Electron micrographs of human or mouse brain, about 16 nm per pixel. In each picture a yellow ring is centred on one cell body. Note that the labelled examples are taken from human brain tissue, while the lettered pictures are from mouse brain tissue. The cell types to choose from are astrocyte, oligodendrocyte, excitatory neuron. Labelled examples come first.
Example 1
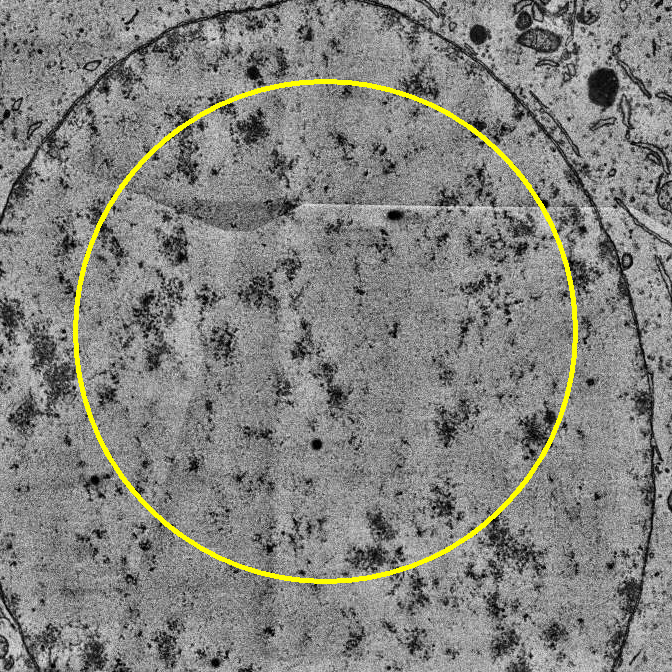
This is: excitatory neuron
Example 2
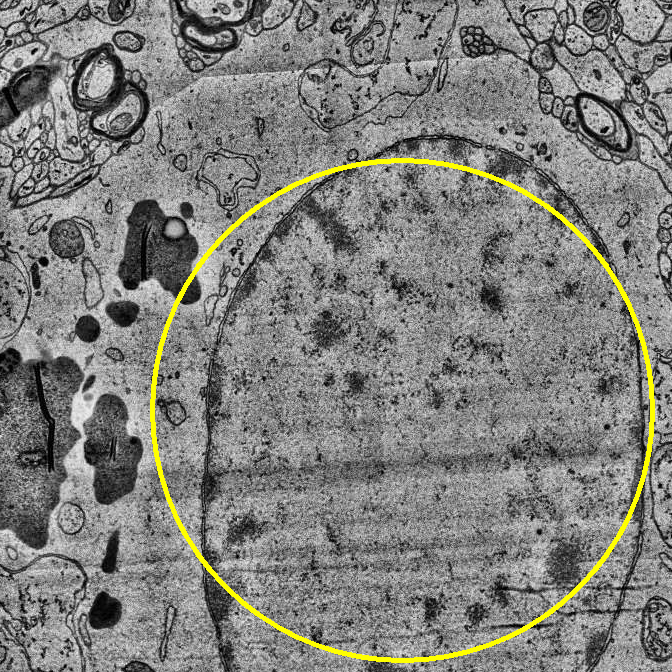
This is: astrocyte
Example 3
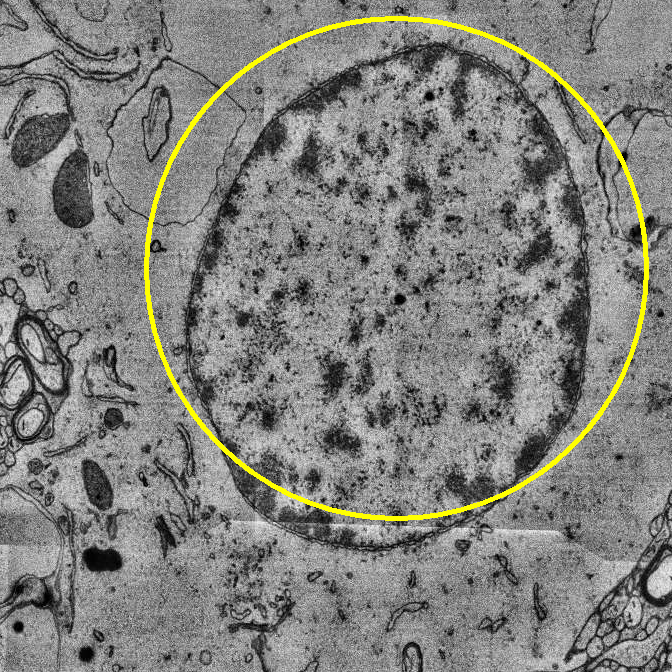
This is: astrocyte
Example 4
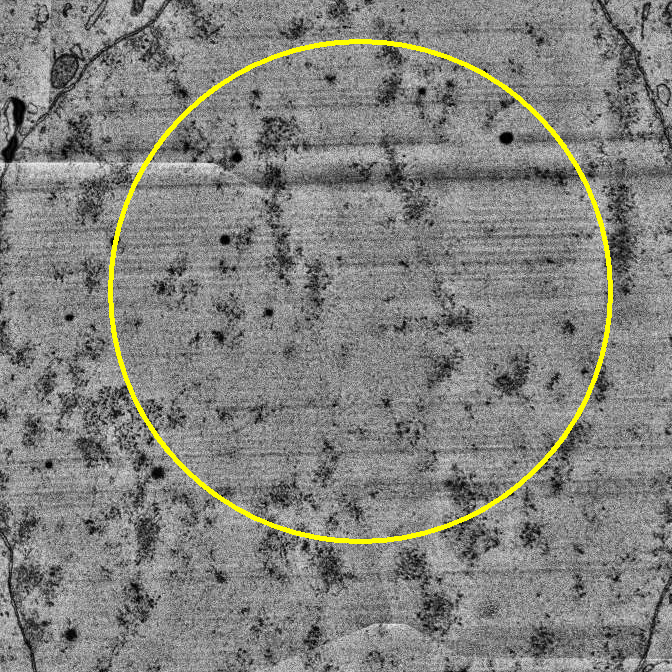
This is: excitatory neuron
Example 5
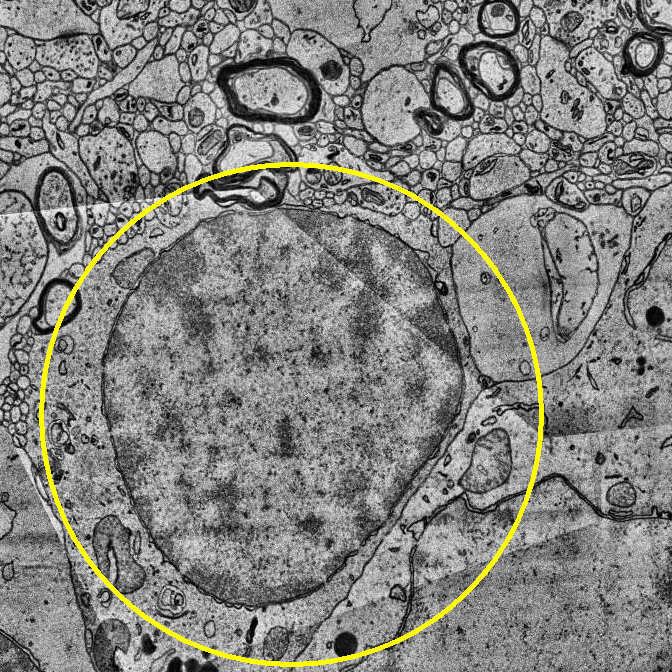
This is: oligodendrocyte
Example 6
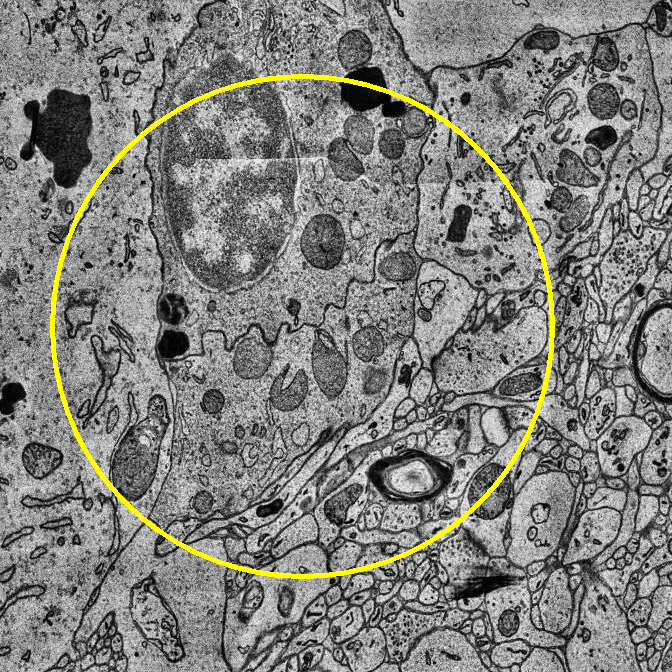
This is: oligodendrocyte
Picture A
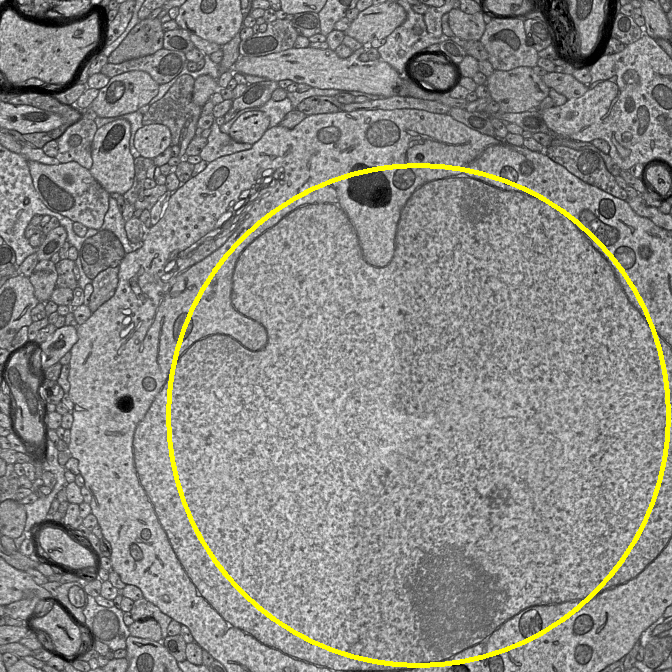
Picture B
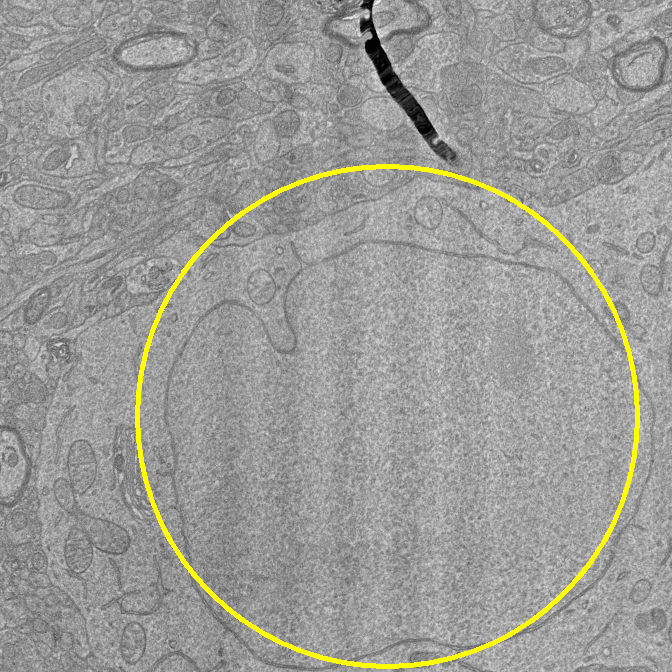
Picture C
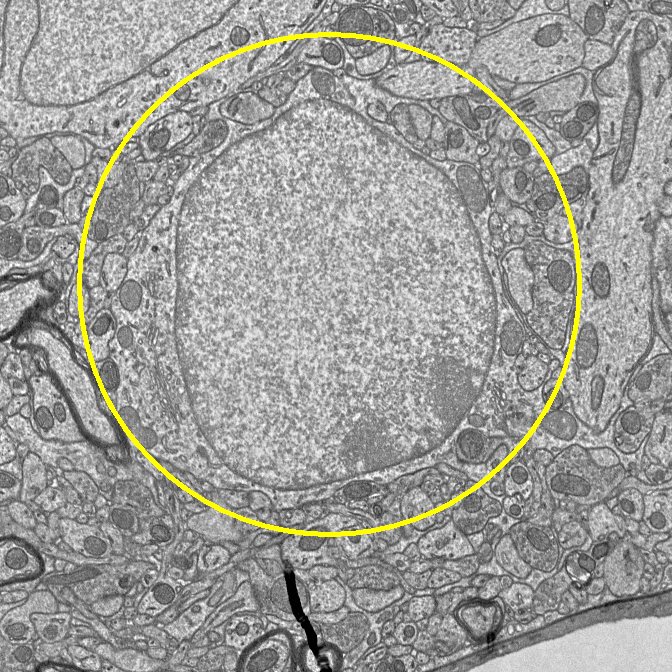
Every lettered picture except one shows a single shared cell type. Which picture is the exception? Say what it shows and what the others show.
Exception: C, showing astrocyte. Remaining pictures: excitatory neuron.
